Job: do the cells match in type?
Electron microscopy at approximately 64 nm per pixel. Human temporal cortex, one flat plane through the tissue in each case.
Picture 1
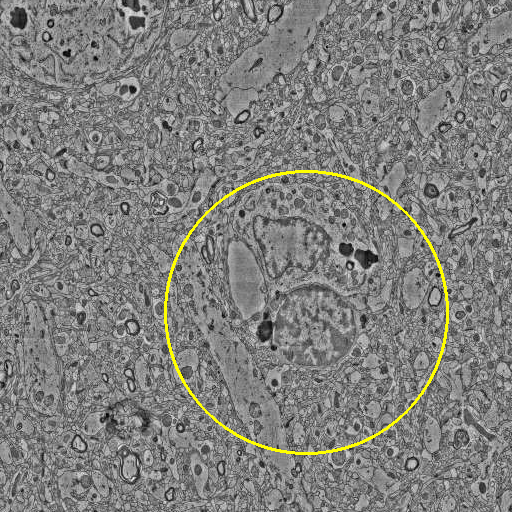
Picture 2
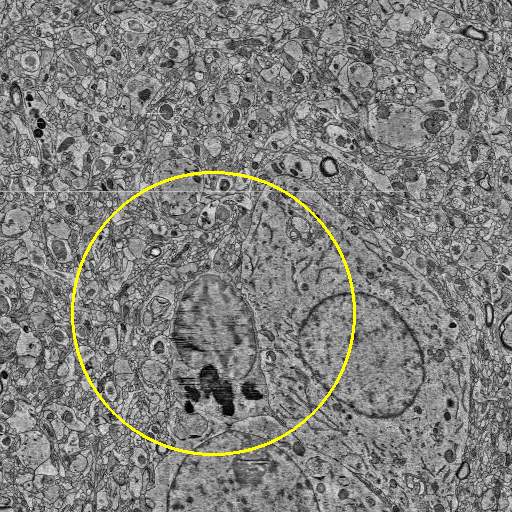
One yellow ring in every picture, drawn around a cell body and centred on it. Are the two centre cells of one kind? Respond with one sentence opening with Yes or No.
Yes, the ringed cells in the two pictures are of one and the same kind.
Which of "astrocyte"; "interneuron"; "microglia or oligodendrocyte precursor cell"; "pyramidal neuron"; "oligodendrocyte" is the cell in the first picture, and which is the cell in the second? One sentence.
Both rings mark an oligodendrocyte, one in each picture.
